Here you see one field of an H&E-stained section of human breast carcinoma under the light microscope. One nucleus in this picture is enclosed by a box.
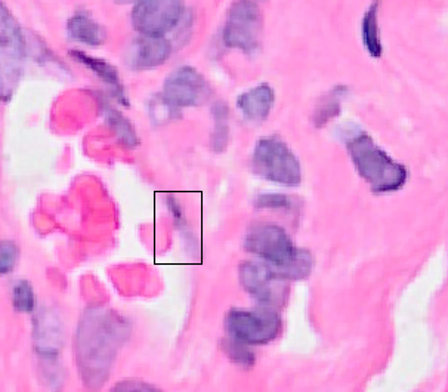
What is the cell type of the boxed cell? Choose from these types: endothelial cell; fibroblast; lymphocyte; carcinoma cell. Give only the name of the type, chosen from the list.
endothelial cell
